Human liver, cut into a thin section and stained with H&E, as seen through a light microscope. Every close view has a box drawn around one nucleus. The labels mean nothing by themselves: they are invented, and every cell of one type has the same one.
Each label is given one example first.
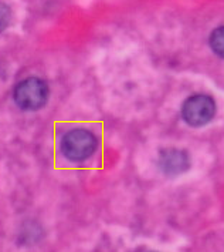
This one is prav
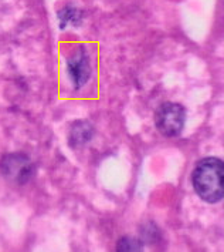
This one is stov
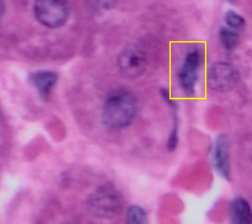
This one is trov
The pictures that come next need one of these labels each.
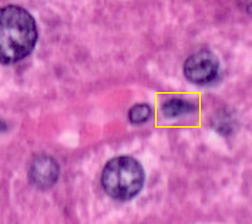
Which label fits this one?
trov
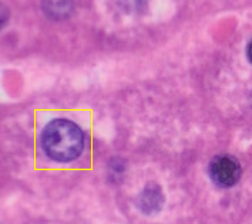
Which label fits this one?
prav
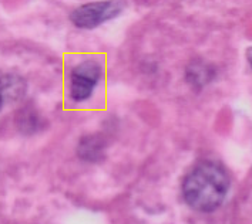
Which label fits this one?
stov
